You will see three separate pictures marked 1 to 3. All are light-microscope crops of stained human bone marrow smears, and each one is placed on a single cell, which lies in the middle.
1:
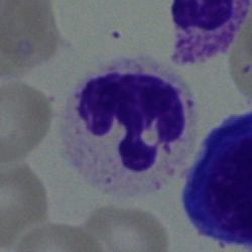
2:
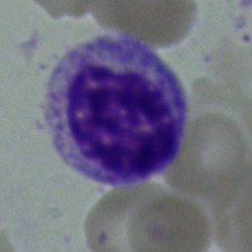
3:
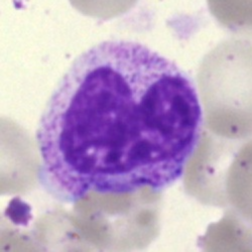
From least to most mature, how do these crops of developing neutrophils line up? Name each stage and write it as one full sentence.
The ordering by maturity, from earliest to most mature, is crop 2 (a myelocyte), crop 3 (a band neutrophil) and crop 1 (a segmented neutrophil).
